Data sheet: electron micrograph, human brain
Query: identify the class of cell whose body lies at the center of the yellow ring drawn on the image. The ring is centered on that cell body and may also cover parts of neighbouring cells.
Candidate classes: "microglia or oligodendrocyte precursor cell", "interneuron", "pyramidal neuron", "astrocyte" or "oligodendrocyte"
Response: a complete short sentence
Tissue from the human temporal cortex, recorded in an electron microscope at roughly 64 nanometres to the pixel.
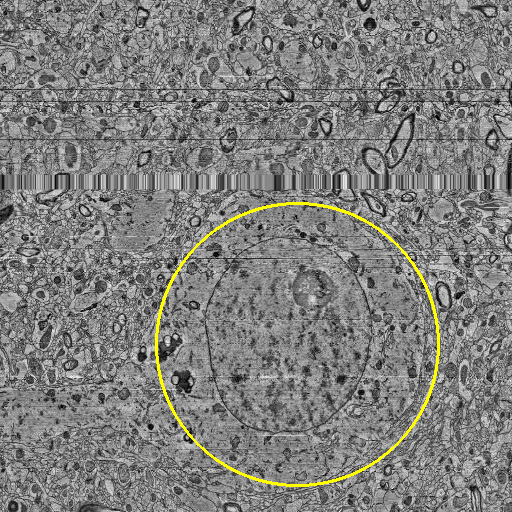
At the center of the ring lies a pyramidal neuron.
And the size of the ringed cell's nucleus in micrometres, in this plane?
In this plane, the nucleus measures approximately 12 micrometres across.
